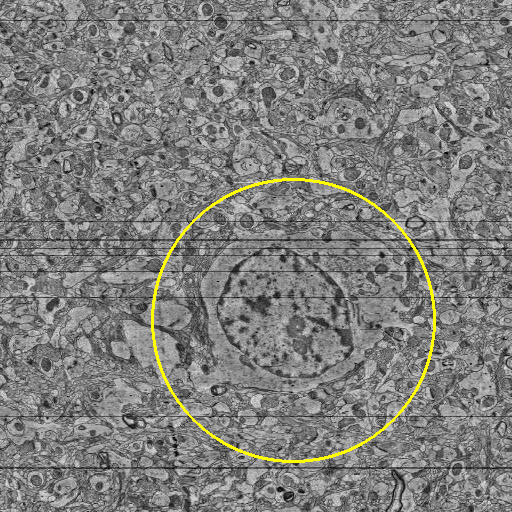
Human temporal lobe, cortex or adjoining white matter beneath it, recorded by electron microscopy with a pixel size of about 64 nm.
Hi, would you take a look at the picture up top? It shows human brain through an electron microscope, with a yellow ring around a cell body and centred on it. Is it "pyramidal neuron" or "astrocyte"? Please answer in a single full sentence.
The best fit for the cell in the middle of the ring is an astrocyte, I reckon.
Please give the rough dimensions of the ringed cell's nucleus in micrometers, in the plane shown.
The nucleus works out at approximately 9 by 8 micrometres in this plane.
